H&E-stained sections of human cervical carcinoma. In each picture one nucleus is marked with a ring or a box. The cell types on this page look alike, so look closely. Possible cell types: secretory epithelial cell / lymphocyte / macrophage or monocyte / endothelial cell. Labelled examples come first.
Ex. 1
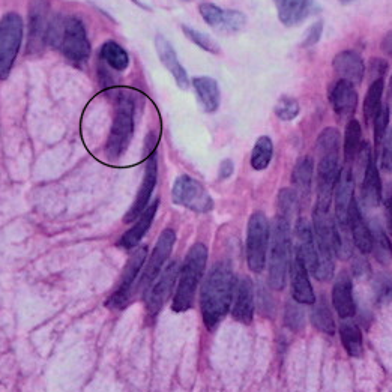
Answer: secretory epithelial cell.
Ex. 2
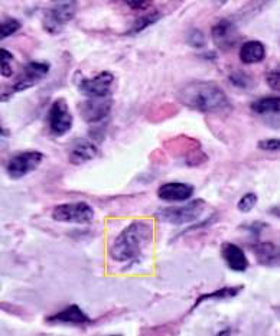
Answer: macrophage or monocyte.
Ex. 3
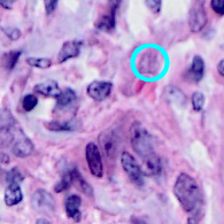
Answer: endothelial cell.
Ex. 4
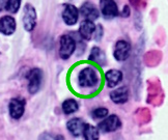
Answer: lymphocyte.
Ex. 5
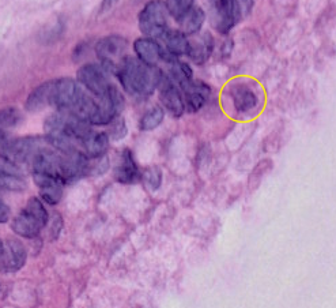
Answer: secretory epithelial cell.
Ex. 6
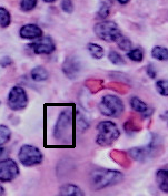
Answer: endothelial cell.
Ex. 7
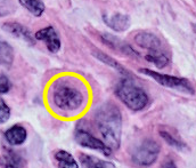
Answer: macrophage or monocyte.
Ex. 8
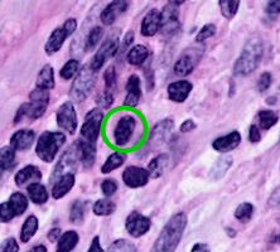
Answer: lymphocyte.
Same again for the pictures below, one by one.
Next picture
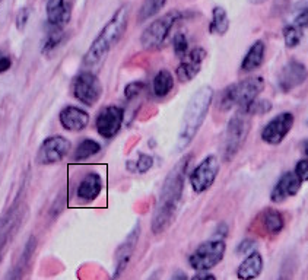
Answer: lymphocyte.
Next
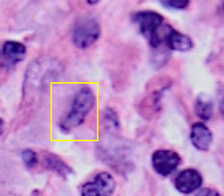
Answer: macrophage or monocyte.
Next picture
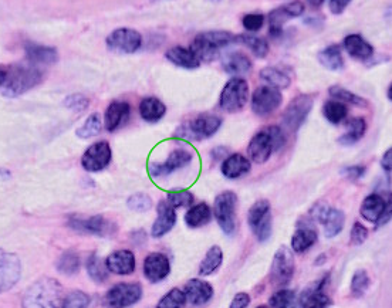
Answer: lymphocyte.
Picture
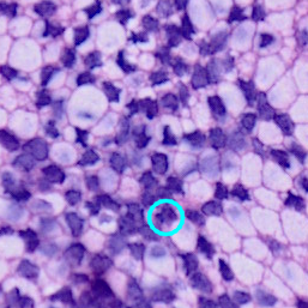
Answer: secretory epithelial cell.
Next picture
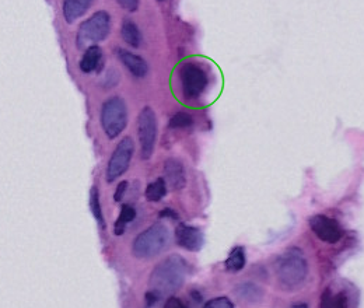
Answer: secretory epithelial cell.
